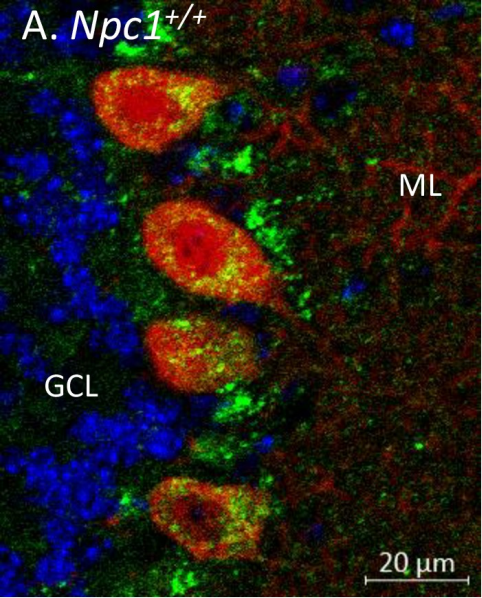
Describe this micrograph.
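Cerebellar cortex shows a single row of large, pear-shaped Purkinje neuron cell bodies, filled red, lying between the densely packed blue nuclei of the granule cell layer and the sparsely nucleated molecular layer. Green granular puncta lie within the Purkinje cell bodies and in smaller cells beside them, and fine red processes run into the molecular layer.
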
